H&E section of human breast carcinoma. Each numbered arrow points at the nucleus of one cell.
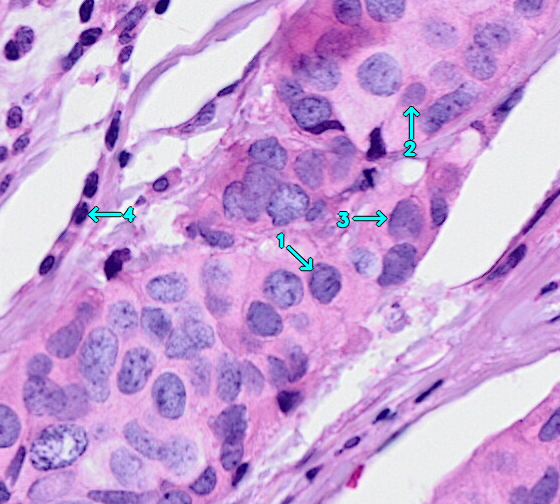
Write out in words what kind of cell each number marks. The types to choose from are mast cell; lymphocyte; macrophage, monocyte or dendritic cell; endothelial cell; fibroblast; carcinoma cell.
Cell 1 is a carcinoma cell, cell 2 is a carcinoma cell, cell 3 is a carcinoma cell and cell 4 is a lymphocyte.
